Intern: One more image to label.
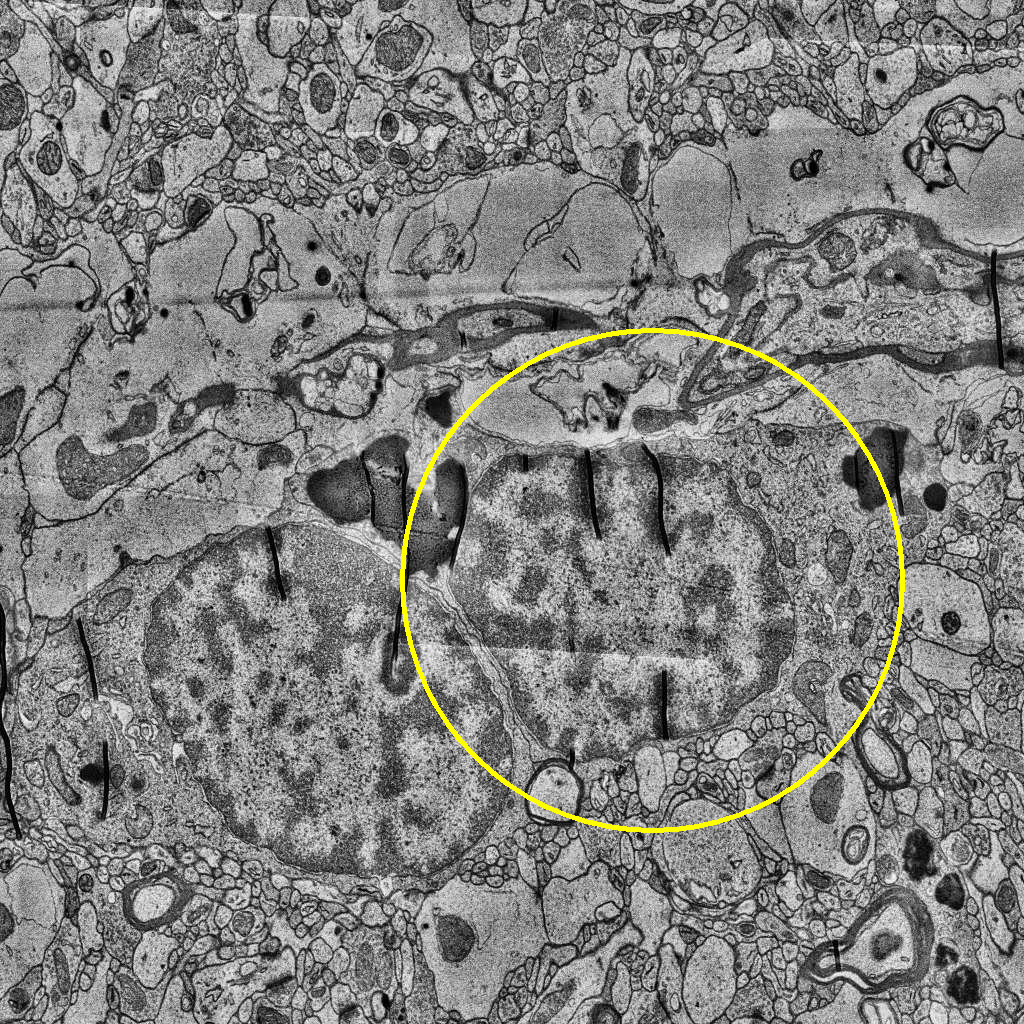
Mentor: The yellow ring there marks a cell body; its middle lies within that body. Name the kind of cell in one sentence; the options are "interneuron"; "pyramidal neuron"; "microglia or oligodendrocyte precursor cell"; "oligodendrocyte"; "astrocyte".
The ring marks the cell body of an oligodendrocyte.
